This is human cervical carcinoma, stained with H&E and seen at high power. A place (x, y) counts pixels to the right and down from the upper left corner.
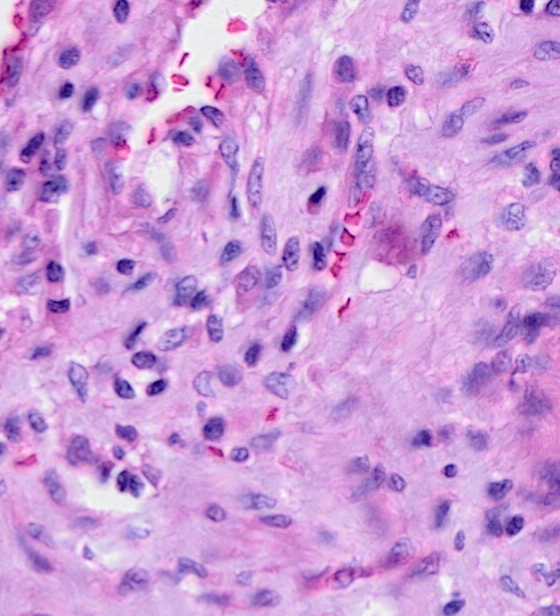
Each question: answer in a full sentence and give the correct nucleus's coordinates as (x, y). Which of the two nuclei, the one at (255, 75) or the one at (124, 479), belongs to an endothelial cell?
The nucleus of an endothelial cell lies at (255, 75), not at the other position.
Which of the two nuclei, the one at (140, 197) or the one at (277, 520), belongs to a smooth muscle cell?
The nucleus positioned at (277, 520) is the one that belongs to a smooth muscle cell.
